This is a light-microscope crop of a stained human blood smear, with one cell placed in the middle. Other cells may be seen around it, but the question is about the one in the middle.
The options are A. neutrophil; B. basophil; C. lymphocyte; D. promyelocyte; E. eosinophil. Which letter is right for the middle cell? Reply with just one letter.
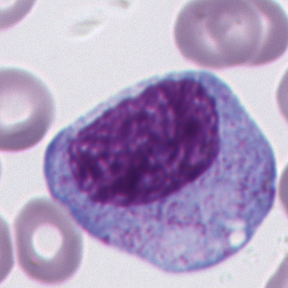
D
